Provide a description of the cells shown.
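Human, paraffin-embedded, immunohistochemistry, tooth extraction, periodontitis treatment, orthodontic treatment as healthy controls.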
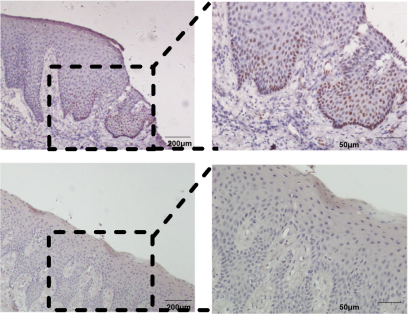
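These views show gingival epithelium, a stratified squamous epithelium over loose connective tissue, with rete ridges reaching down into the connective tissue. In the upper row, the high-power view shows many small round brown nuclei, most crowded in the basal and lower layers of the epithelium near the connective tissue. Above these, the cells flatten toward the surface and stain mainly blue-violet. In the lower row the epithelium is pale blue-grey with little brown nuclear staining. The underlying connective tissue is paler and more loosely arranged than the epithelium.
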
